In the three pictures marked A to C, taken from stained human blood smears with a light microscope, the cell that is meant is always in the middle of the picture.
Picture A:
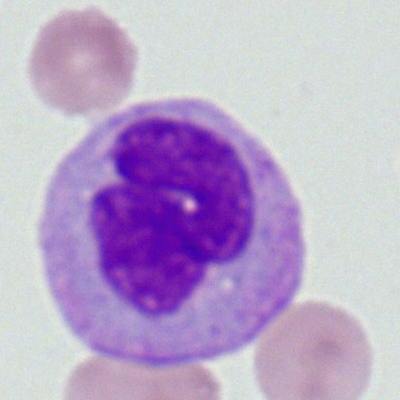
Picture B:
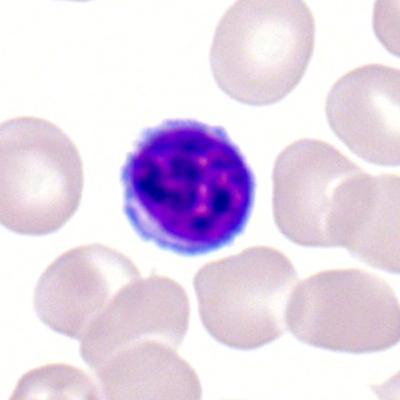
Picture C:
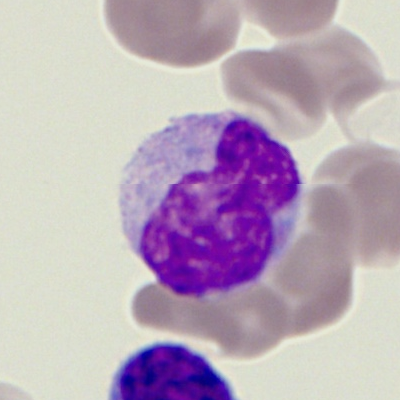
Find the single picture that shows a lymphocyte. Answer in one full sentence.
The cell in picture B is the lymphocyte.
